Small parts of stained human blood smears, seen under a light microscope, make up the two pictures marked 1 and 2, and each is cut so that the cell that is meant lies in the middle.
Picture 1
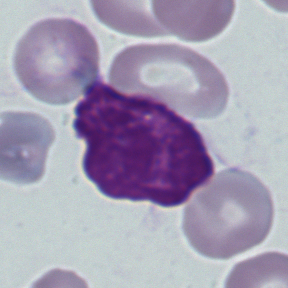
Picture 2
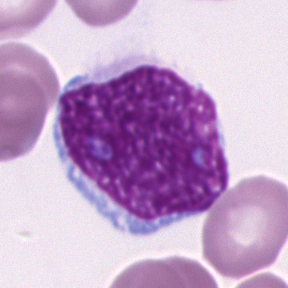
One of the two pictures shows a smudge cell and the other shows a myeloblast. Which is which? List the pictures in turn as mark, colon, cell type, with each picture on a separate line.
1: smudge cell
2: myeloblast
